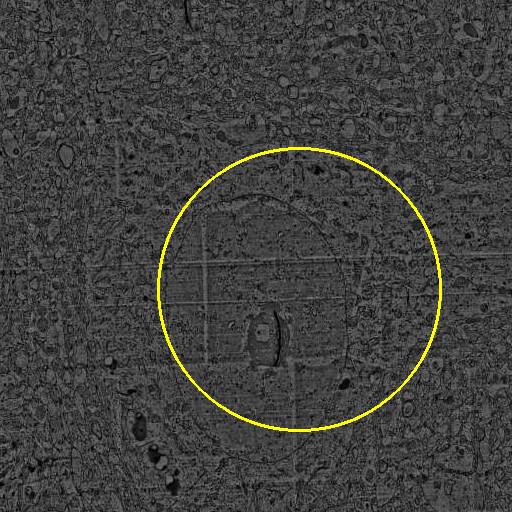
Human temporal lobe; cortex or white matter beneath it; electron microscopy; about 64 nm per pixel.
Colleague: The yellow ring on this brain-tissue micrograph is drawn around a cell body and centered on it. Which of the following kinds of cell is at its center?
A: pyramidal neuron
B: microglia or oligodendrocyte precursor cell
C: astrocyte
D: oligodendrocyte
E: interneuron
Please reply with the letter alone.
A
